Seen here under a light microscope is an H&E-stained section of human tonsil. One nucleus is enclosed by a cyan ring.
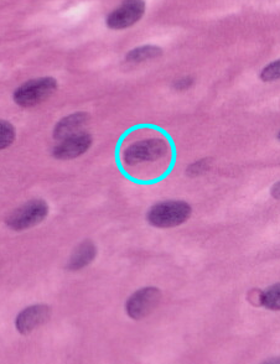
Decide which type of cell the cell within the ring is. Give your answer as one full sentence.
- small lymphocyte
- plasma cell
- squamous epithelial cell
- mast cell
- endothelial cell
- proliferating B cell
In this preparation, the cell within the ring is a squamous epithelial cell.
